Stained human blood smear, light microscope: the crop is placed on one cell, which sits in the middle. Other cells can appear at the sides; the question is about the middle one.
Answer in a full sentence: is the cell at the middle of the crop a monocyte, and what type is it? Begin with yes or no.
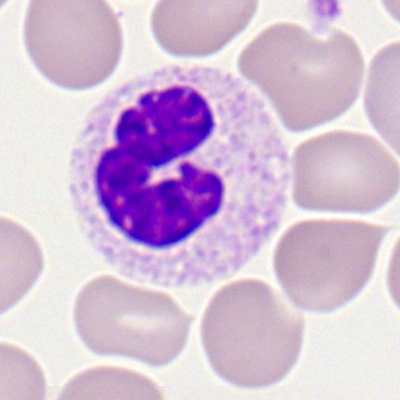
No, the central cell is classed as a band neutrophil, not a monocyte.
